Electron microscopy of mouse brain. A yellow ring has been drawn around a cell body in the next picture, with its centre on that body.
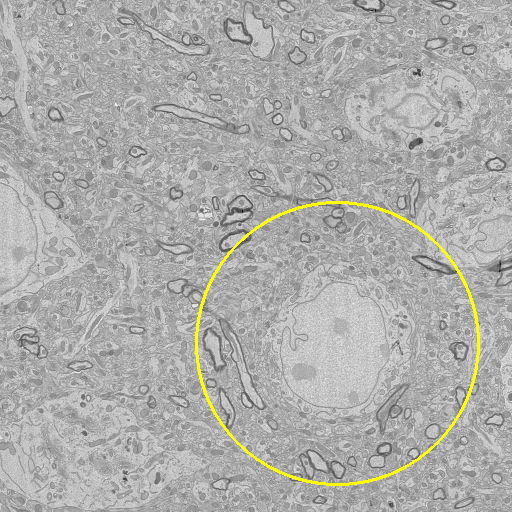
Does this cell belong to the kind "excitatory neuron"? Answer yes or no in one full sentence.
Yes, the ringed cell in this picture, sitting at the ring's centre, is of that kind.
